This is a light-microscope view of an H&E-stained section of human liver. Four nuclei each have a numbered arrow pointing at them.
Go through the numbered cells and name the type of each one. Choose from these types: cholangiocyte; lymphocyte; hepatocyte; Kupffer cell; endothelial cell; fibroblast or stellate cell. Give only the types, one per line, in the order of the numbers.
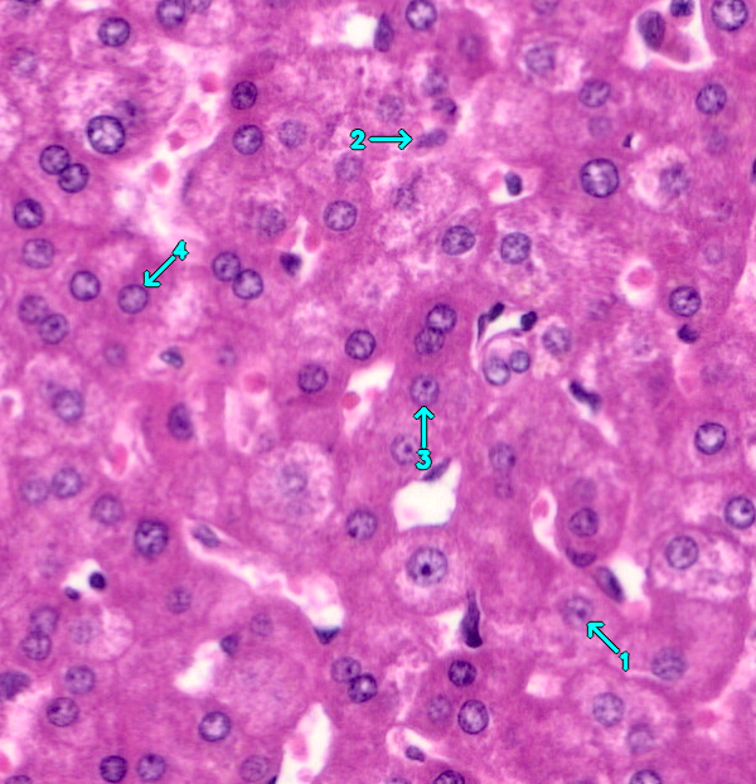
hepatocyte
Kupffer cell
hepatocyte
hepatocyte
